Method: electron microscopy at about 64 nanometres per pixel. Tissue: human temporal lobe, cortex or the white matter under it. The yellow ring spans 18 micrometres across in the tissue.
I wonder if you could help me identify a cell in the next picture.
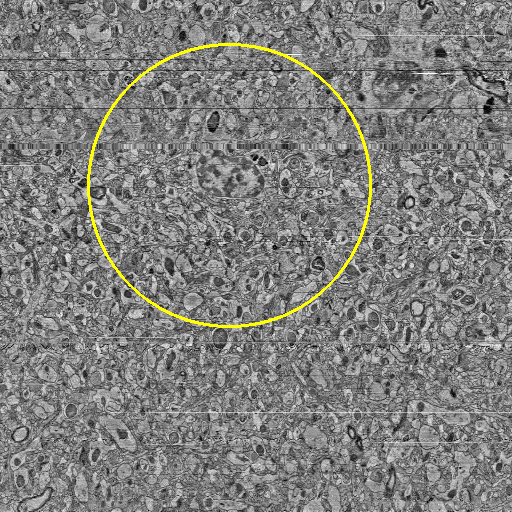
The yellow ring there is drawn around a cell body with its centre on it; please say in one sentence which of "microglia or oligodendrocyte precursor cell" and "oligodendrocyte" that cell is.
The yellow ring is centred on a microglial cell or oligodendrocyte precursor cell.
